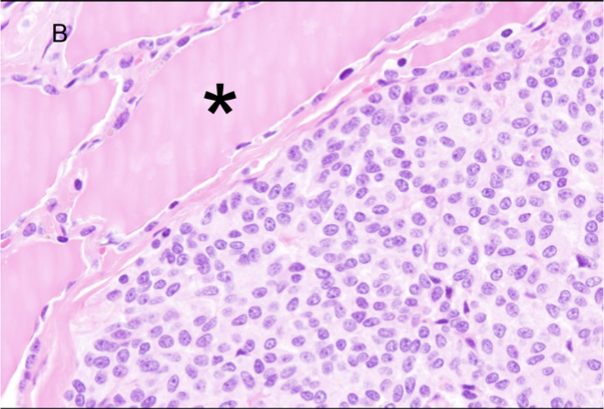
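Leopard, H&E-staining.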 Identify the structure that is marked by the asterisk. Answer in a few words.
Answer: Normal follicles of the thyroid gland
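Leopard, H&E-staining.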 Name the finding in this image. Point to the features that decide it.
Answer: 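Closely packed cells form a continuous sheet without lumina. Round to oval nuclei of fairly uniform size. Scant pale cytoplasm with indistinct cell borders. On this evidence: solid growth pattern.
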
